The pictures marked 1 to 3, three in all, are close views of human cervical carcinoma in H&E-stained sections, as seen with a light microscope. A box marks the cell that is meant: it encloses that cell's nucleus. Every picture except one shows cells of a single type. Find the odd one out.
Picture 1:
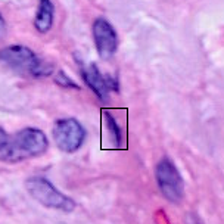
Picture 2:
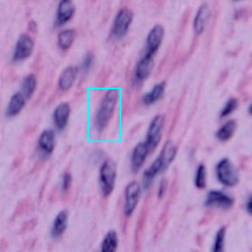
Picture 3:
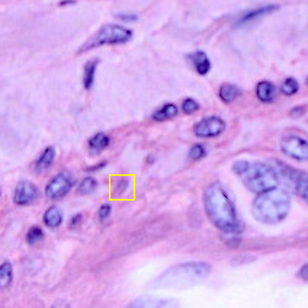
1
